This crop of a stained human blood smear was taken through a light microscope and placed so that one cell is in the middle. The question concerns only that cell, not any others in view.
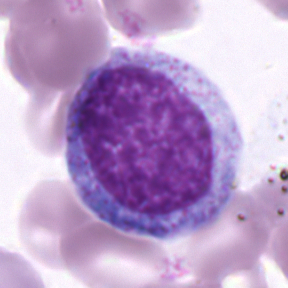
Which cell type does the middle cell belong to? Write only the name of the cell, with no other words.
promyelocyte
